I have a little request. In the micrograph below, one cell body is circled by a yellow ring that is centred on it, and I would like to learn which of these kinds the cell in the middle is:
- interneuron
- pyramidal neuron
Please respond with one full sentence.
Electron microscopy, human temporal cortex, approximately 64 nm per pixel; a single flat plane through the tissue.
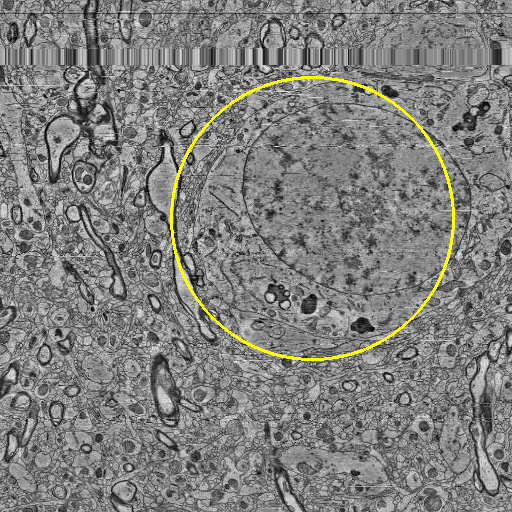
The cell sitting in the middle of the yellow ring in the micrograph is a pyramidal neuron.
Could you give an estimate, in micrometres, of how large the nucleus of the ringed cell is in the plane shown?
In this plane, approximately 15 by 12 micrometers.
